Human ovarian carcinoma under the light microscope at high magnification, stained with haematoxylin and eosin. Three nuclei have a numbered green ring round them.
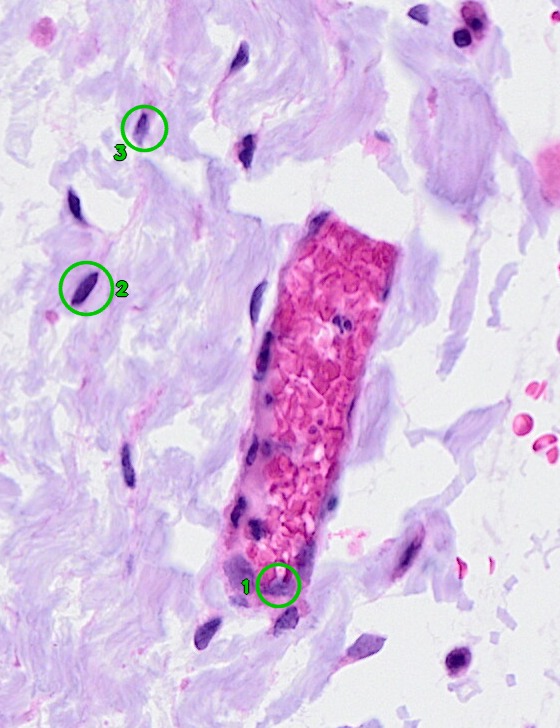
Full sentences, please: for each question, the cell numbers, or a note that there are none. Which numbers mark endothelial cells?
Cell 1 is an endothelial cell, while every other numbered cell is not.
